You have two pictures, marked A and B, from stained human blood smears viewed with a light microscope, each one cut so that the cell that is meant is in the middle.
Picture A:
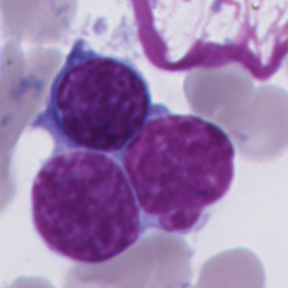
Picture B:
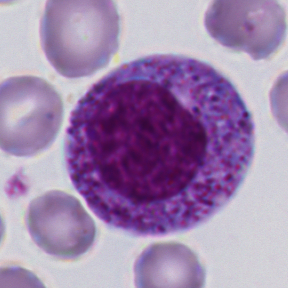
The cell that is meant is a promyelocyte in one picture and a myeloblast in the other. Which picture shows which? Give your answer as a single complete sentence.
The cell in picture A is a myeloblast, and the one in picture B is a promyelocyte.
